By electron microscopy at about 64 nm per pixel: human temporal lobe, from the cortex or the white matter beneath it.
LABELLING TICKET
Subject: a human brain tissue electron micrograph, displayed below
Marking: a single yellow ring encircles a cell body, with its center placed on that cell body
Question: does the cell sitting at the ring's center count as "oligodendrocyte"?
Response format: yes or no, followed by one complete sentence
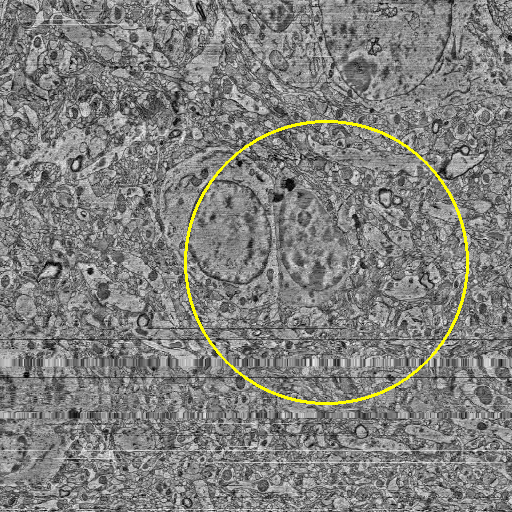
Yes, the cell at the center of the ring in the picture is of that kind.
